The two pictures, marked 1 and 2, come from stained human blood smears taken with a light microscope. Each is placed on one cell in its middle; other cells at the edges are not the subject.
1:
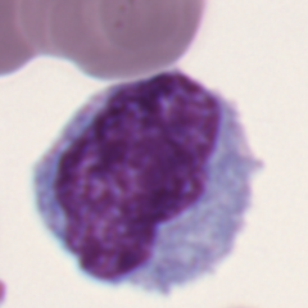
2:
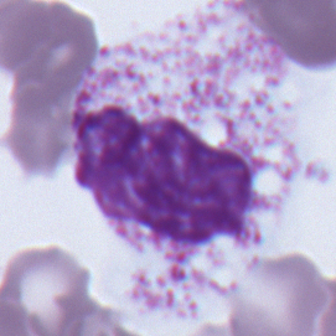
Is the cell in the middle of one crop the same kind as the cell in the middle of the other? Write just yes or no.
no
